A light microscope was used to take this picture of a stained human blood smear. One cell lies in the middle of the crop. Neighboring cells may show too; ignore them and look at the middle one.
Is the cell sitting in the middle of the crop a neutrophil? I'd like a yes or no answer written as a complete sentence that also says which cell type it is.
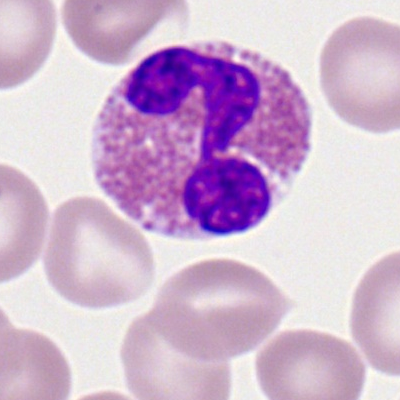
No, rather than being a neutrophil, the central cell is an eosinophil.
